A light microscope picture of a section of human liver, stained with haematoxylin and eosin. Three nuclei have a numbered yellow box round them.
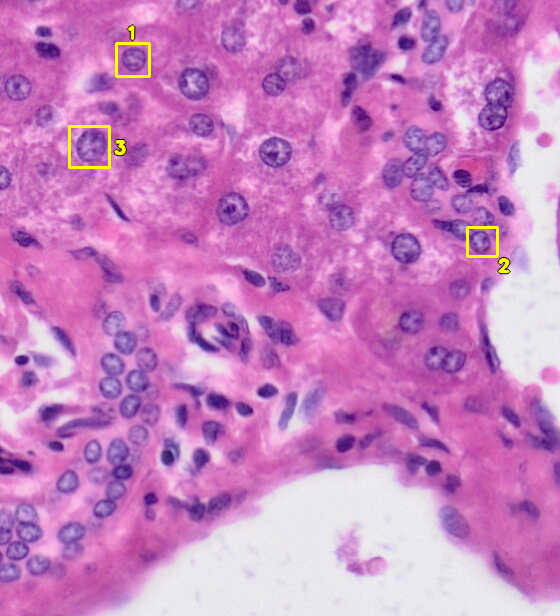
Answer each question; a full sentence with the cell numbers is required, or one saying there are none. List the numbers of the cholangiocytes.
Mind that only cell 2 is a cholangiocyte, none of the rest.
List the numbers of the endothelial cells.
None of the cells labelled with numbers belong to the endothelial cells.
